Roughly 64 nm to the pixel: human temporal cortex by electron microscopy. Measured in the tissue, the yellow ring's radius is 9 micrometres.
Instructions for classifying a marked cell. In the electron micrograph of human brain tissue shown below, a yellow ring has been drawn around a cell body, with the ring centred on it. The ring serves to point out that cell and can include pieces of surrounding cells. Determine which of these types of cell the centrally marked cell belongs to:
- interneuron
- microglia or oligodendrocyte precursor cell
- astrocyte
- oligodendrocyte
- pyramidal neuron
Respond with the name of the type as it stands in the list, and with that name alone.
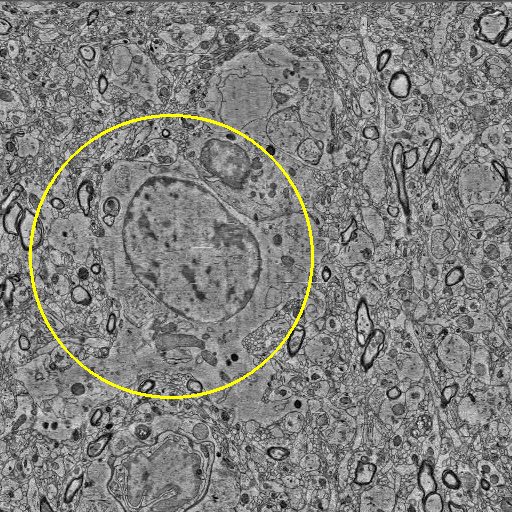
astrocyte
